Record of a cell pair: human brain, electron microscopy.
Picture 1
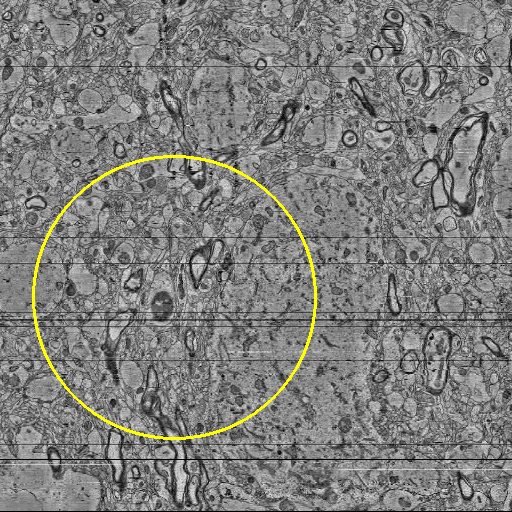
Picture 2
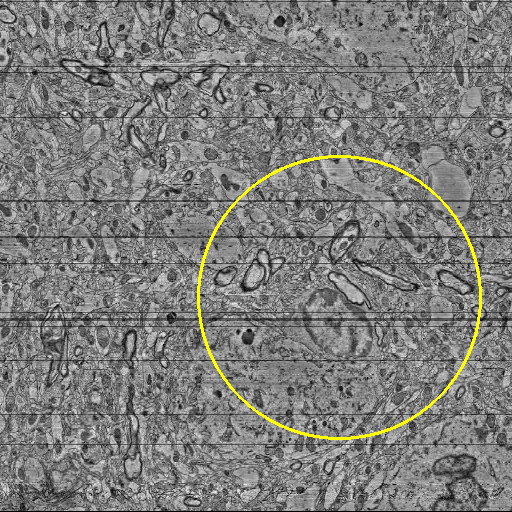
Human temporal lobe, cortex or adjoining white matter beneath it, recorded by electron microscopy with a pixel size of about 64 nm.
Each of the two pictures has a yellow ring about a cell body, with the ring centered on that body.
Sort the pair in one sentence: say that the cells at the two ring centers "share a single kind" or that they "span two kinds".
The cells centered in the rings of Pictures 1 and 2 span two kinds.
